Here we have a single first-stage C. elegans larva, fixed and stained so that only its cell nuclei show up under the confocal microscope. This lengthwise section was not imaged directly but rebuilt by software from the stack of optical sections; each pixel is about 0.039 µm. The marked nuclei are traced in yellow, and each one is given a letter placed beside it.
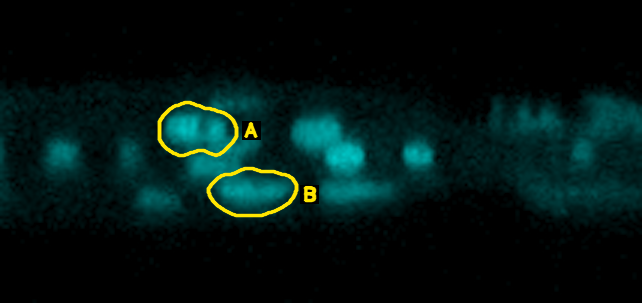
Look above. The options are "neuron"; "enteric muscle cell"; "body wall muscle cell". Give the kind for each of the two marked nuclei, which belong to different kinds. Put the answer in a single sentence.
B belongs to an enteric muscle cell, and A to a body wall muscle cell.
